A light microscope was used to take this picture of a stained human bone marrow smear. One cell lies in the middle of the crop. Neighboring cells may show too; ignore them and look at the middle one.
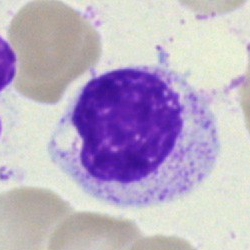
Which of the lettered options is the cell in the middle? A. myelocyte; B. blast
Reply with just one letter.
A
